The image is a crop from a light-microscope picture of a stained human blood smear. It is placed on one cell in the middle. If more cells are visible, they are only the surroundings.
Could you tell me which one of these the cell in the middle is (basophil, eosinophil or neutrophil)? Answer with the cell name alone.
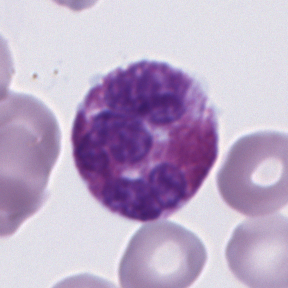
eosinophil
